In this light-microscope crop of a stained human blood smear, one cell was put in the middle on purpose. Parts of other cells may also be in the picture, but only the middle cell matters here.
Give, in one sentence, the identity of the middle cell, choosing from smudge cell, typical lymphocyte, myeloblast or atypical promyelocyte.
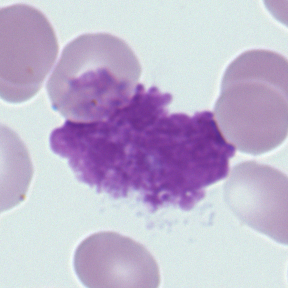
Standing at the centre of this crop is a smudge cell.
